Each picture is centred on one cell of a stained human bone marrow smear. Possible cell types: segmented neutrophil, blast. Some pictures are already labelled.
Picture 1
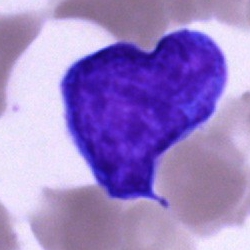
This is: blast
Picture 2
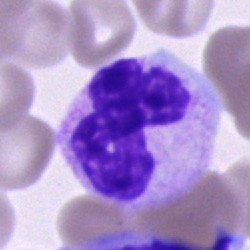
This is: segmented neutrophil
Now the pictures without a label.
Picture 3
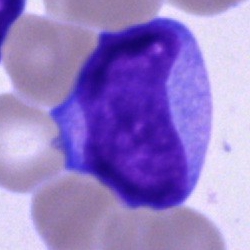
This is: blast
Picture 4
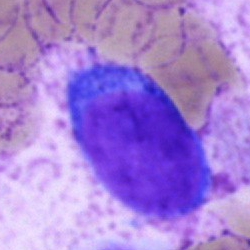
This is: blast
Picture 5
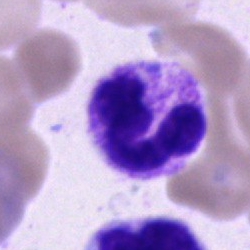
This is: segmented neutrophil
